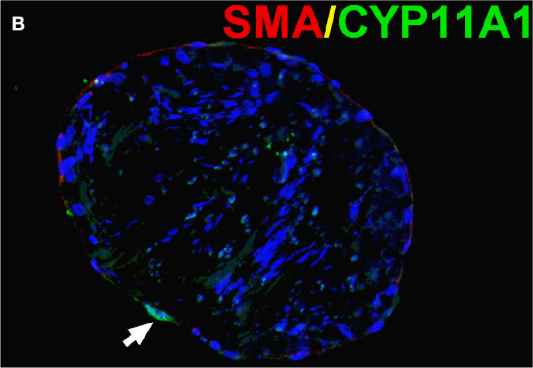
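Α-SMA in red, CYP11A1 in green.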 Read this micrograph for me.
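A round cross section of a seminiferous tubule is outlined by a thin red rim of flattened cells. The interior is filled with many blue nuclei, several of them elongated and irregularly arranged, and a single small green cell lies at the lower outer edge of the tubule.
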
